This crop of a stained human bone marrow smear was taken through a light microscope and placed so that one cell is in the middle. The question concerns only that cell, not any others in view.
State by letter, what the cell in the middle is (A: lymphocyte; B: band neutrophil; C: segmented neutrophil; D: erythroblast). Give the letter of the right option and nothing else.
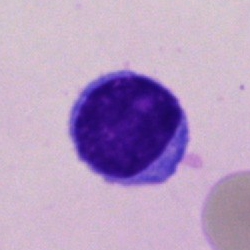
A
